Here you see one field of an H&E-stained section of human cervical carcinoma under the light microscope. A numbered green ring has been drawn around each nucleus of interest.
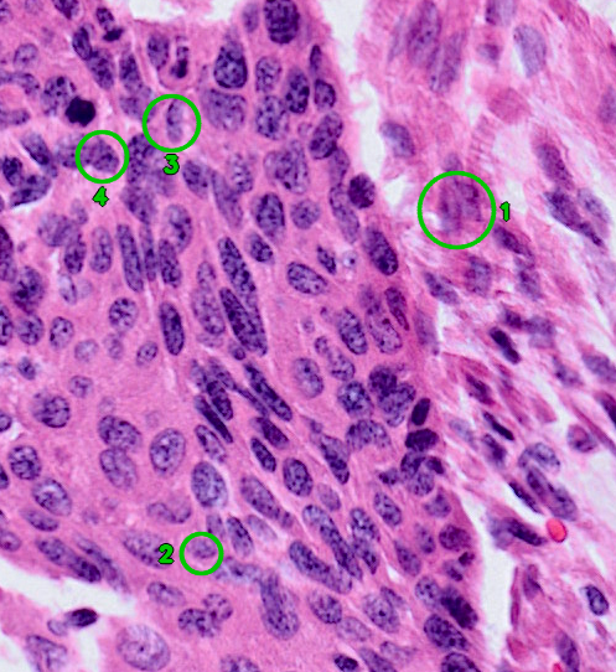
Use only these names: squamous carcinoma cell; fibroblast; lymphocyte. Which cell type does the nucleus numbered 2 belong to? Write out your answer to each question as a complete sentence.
The numeral 2 marks a squamous carcinoma cell in this section.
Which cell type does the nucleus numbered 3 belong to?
Of the numbered cells, the one labelled 3 is a squamous carcinoma cell.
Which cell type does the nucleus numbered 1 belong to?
The nucleus marked 1 is the nucleus of a fibroblast.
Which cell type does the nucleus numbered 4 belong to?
At number 4, the marked cell is a squamous carcinoma cell.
